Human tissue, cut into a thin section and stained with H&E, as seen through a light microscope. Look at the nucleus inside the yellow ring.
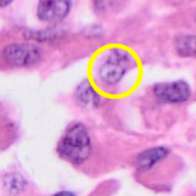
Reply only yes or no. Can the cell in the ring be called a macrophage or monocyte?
no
